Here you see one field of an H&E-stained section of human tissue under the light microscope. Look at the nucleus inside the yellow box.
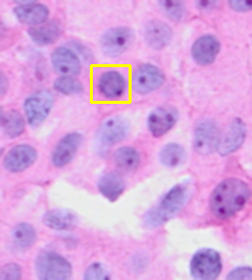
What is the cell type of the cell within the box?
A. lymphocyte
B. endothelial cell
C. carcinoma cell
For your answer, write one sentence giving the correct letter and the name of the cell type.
It is option C that is correct, the cell within the box being a carcinoma cell.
